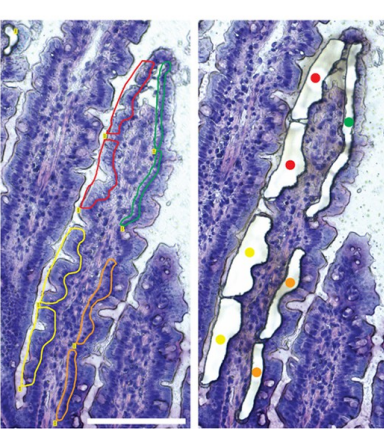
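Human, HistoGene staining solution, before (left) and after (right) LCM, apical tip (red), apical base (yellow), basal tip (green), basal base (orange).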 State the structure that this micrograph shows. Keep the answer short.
villus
